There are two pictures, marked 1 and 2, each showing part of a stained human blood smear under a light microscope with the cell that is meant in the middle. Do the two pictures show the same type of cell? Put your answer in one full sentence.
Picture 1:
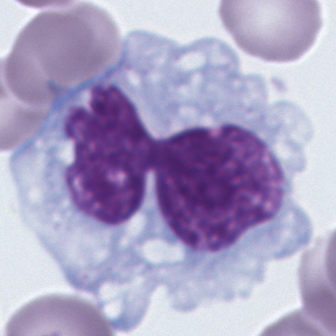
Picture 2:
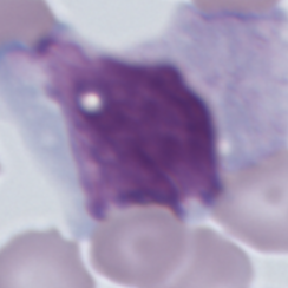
Yes, both cells are monocytes.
